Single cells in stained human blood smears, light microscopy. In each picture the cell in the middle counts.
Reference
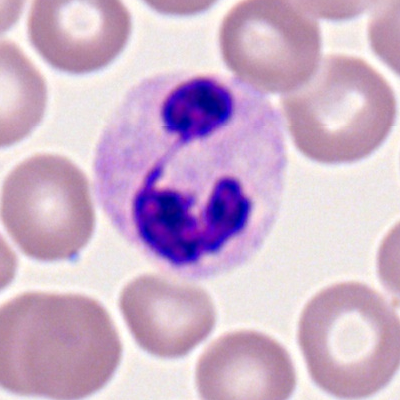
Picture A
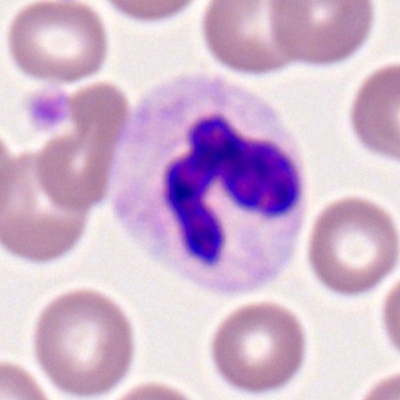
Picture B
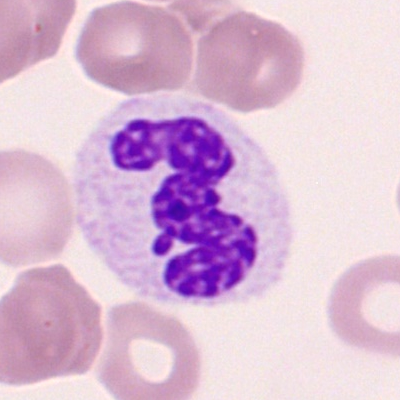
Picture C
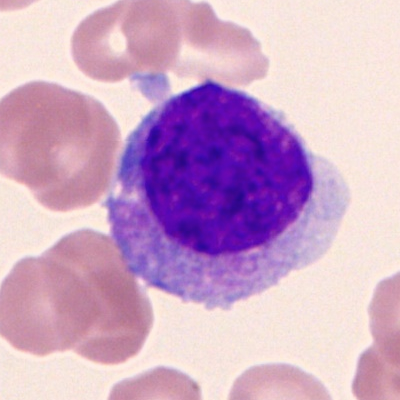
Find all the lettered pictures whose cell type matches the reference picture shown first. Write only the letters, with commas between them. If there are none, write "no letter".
A, B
